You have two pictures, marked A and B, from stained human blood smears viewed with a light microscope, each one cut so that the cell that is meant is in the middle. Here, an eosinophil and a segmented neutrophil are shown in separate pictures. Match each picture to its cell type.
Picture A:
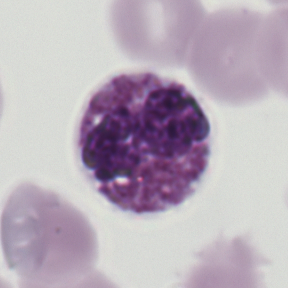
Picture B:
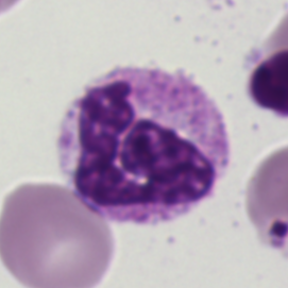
A: eosinophil
B: segmented neutrophil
